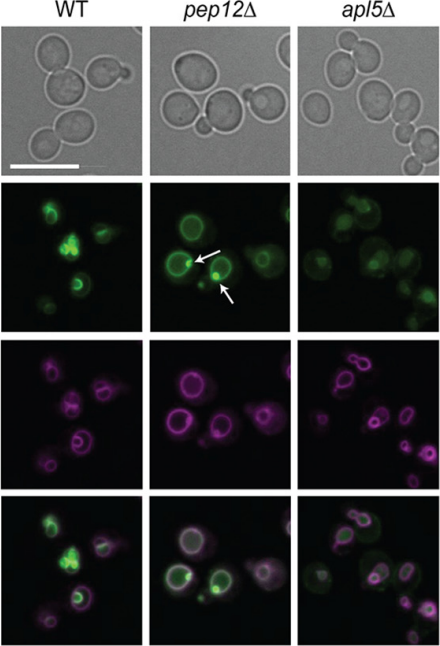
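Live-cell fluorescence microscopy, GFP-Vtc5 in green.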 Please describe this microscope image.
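In brightfield the cells are round to oval, with smooth walls, some carrying small buds, and each contains one or a few large clear vacuoles. The magenta signal draws rings around these vacuoles, single large rings in some cells and clusters of smaller rings in others. The green signal in some cells lines the vacuole rims and overlaps the magenta in the merge, while in other cells it is fainter and more diffuse through the cytoplasm. In one set of cells small bright green dots sit beside the vacuole rings, marked by arrows.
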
